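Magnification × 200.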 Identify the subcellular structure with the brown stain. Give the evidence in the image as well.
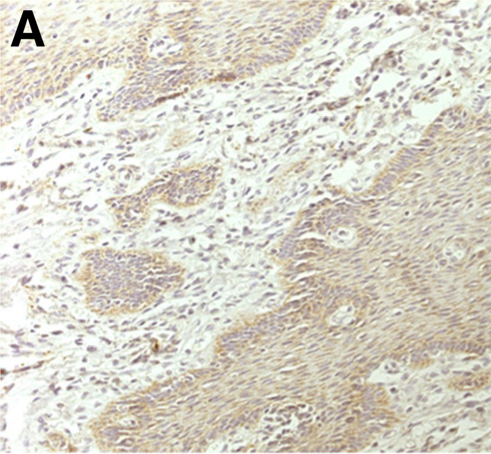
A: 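Brown colour fills the cell bodies of the tumor nests. The nuclei stay bluish against the brown. On this evidence: cytoplasmic.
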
